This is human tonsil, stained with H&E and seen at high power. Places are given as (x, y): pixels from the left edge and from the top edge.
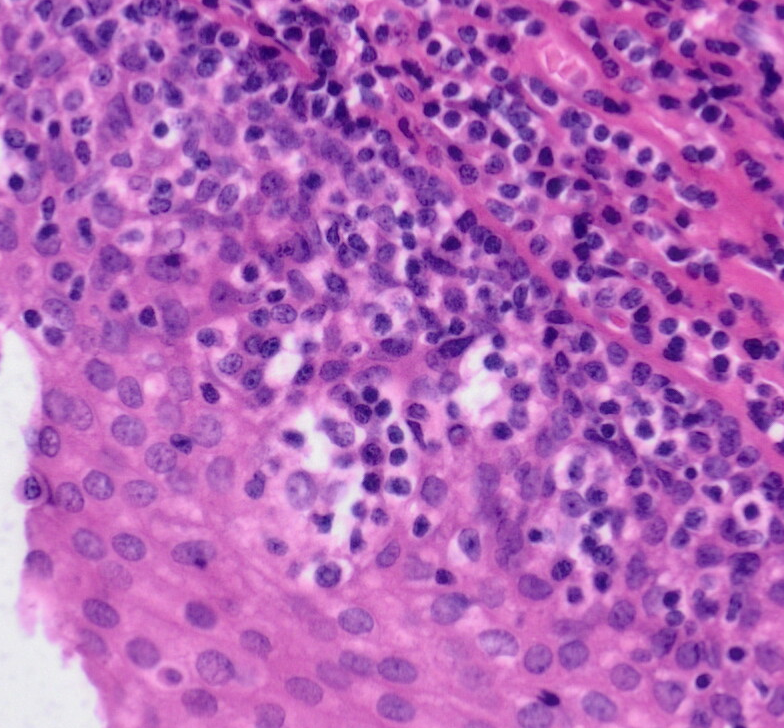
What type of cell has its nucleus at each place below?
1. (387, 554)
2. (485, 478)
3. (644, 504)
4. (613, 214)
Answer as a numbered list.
1. squamous epithelial cell
2. squamous epithelial cell
3. squamous epithelial cell
4. plasma cell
